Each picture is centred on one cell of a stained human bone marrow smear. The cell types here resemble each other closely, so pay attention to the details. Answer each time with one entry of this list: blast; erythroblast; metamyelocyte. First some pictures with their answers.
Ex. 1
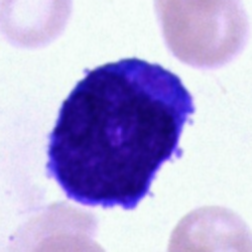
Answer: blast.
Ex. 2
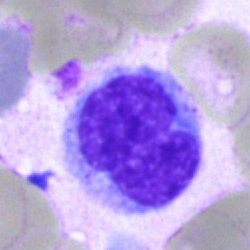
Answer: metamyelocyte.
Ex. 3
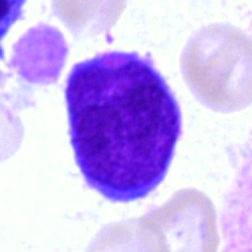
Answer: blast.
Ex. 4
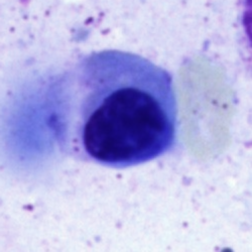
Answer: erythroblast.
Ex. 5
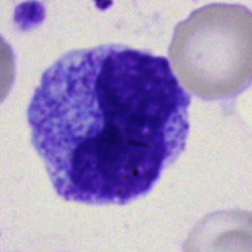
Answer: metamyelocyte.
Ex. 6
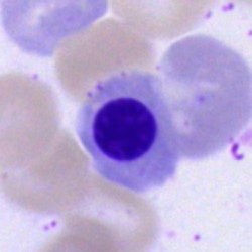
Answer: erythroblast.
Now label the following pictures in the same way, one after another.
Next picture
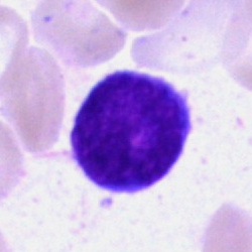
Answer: blast.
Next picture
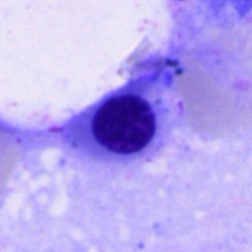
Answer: erythroblast.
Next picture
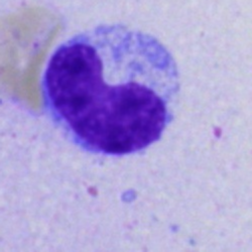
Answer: metamyelocyte.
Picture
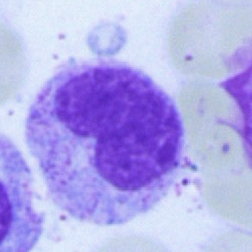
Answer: metamyelocyte.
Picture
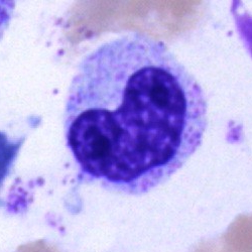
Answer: metamyelocyte.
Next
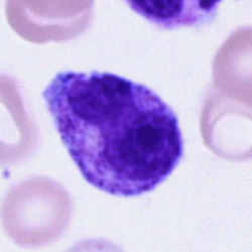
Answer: metamyelocyte.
